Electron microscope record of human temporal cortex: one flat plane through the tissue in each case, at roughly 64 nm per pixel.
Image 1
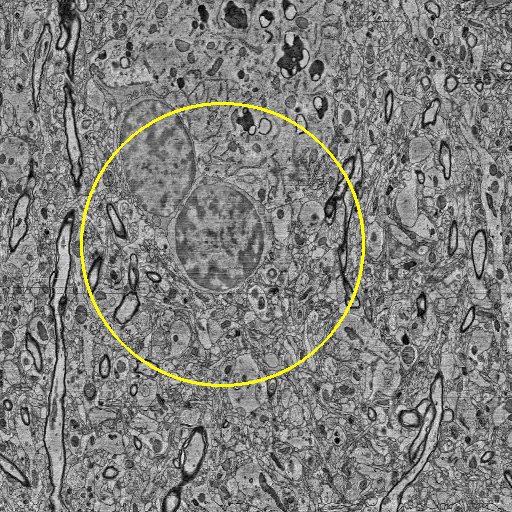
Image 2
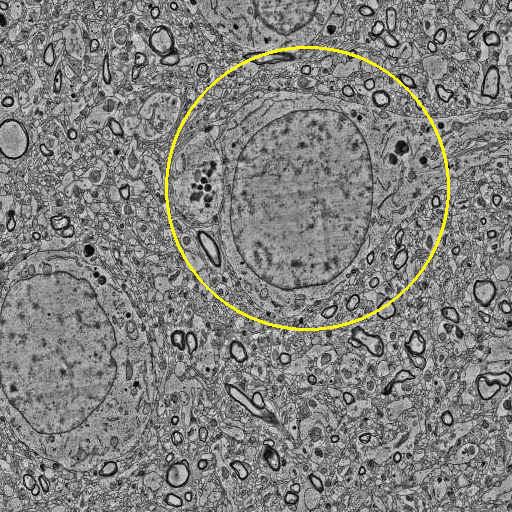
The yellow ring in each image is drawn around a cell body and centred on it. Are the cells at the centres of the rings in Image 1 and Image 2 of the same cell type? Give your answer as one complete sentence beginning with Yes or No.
No, the two cells are of two separate types.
